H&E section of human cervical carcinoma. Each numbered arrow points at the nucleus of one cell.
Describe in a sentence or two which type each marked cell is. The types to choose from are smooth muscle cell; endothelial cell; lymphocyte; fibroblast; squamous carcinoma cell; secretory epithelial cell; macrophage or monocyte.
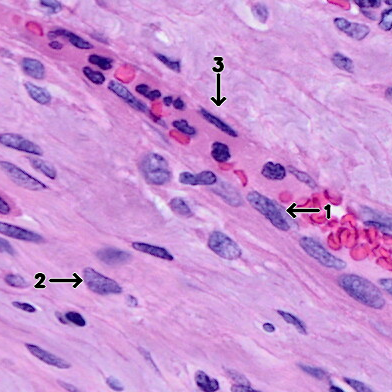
Cells 1 and 3 are endothelial cells. Cell 2 is a fibroblast.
